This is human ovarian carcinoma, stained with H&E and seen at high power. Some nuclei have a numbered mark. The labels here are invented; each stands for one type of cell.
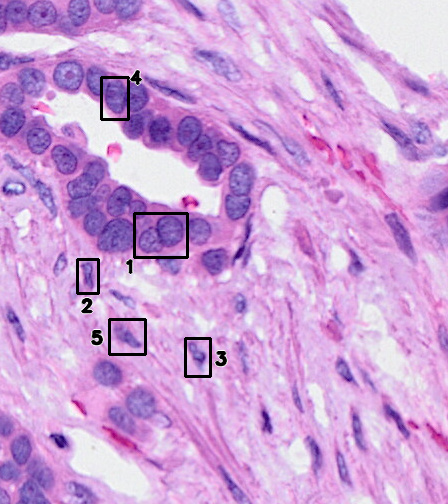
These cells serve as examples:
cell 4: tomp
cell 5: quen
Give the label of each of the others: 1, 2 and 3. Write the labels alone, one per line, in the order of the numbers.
tomp
quen
quen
